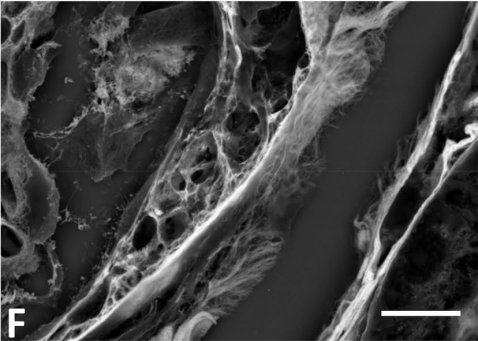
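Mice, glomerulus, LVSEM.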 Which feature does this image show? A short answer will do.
Multiple lamellar structures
